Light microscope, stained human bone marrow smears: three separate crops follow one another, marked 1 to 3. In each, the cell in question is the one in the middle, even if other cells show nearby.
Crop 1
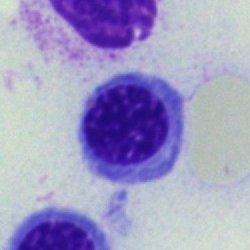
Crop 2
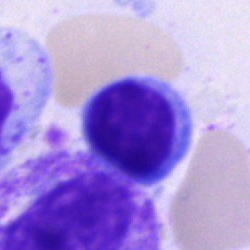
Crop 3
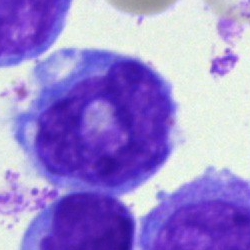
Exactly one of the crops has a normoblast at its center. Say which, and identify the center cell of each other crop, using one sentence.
Crop 1 is recognised as a normoblast, whereas crop 2 is a lymphocyte and crop 3 is a monocyte.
